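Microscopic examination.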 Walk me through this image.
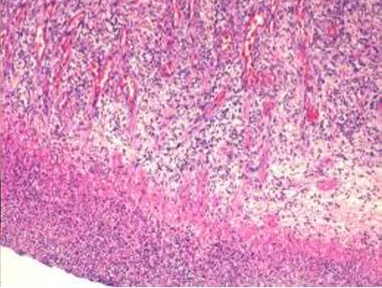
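This section of the lesion shows a dense background of inflammatory cells, seen as many small, round, dark purple nuclei. The cells are densest in a band toward the lower edge of the tissue and become looser and more scattered above it. Between them lies a pale pink, loose stroma, with elongated pink-red streaks running through the upper part of the field.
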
